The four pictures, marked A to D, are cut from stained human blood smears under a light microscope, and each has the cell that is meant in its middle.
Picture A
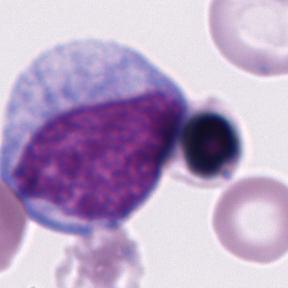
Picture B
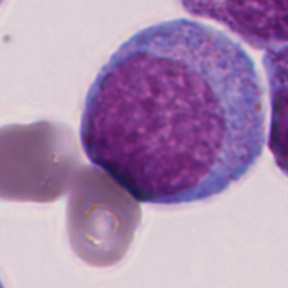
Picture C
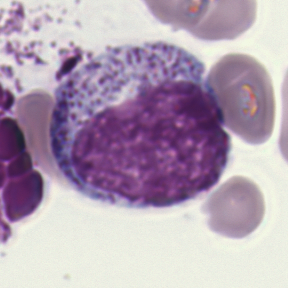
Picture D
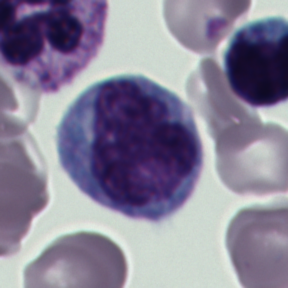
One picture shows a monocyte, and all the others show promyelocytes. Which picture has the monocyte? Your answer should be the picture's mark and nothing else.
D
